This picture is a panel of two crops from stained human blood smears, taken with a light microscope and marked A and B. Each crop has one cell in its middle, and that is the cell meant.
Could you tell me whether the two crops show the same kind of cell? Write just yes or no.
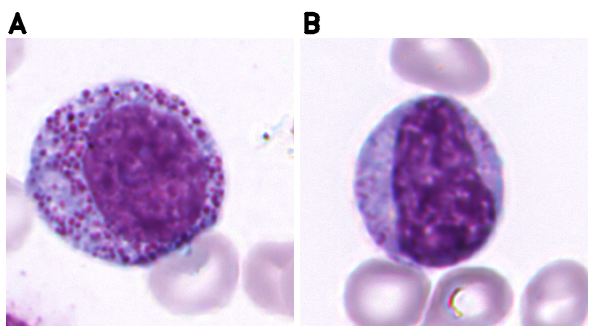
no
